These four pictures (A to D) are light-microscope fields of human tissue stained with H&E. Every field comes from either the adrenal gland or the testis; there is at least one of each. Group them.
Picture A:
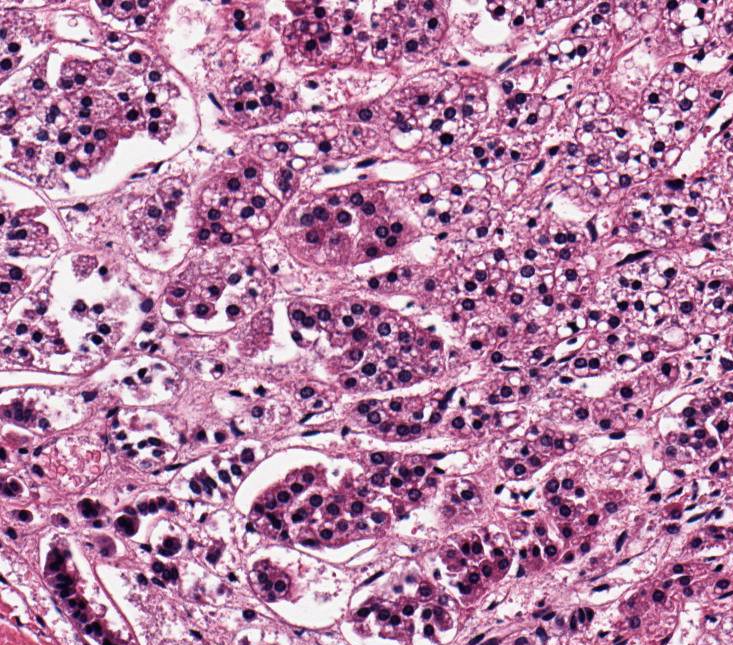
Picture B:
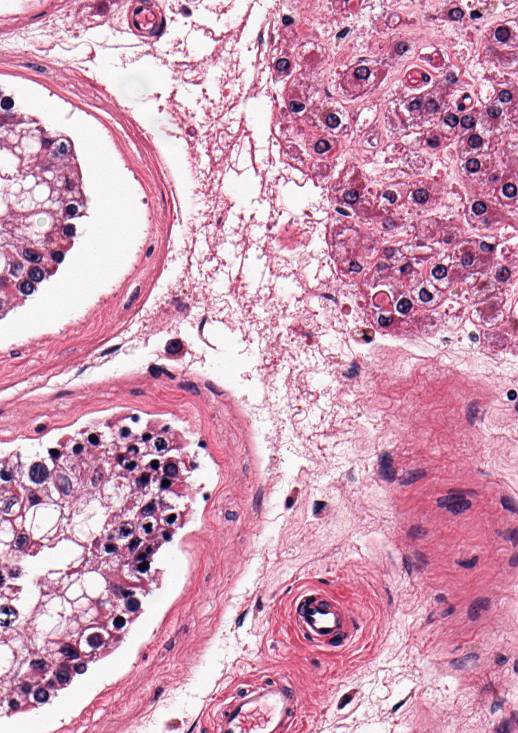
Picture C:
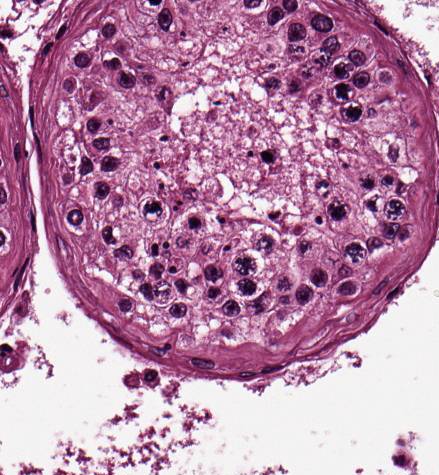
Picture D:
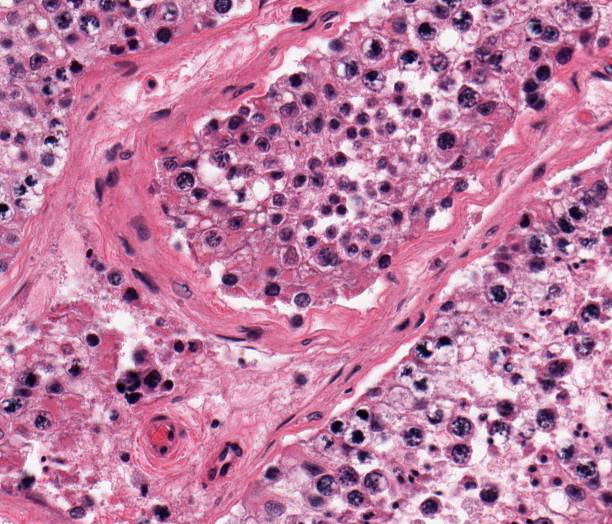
A: adrenal gland
B: testis
C: testis
D: testis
